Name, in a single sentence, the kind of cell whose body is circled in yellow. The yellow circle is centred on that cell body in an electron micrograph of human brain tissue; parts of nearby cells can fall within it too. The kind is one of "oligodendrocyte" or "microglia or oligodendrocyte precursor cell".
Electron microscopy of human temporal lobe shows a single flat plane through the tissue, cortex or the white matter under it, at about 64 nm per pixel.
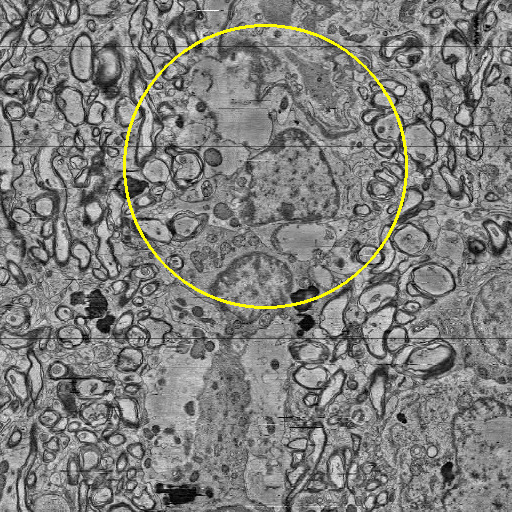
The circled cell body belongs to a microglial cell or oligodendrocyte precursor cell.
